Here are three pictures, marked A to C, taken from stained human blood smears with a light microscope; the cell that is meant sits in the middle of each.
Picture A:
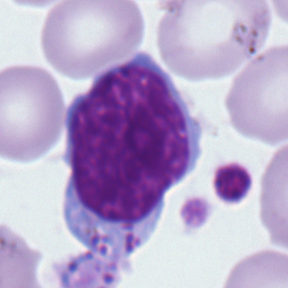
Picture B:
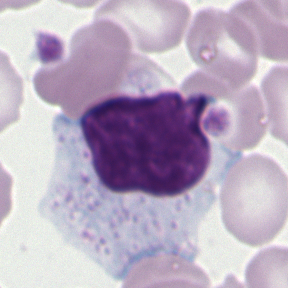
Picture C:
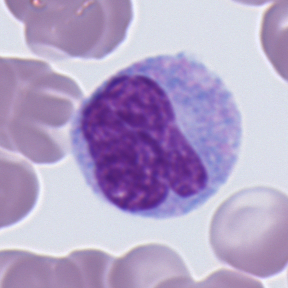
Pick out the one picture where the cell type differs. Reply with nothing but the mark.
C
